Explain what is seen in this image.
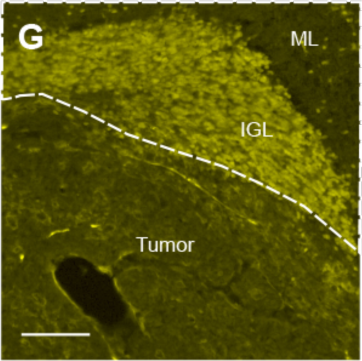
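This view shows cerebellar cortex bordering a tumor. At the top right the molecular layer is dark with few labelled cells, while the internal granule layer beneath it is a broad band of densely packed, brightly yellow small round nuclei. A dashed line separates this layer from the tumor below, which is only faintly and diffusely yellow, without the crowded bright nuclei of the granule layer, and crossed by a few thin bright streaks. A dark oval empty space lies in the lower left of the tumor.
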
